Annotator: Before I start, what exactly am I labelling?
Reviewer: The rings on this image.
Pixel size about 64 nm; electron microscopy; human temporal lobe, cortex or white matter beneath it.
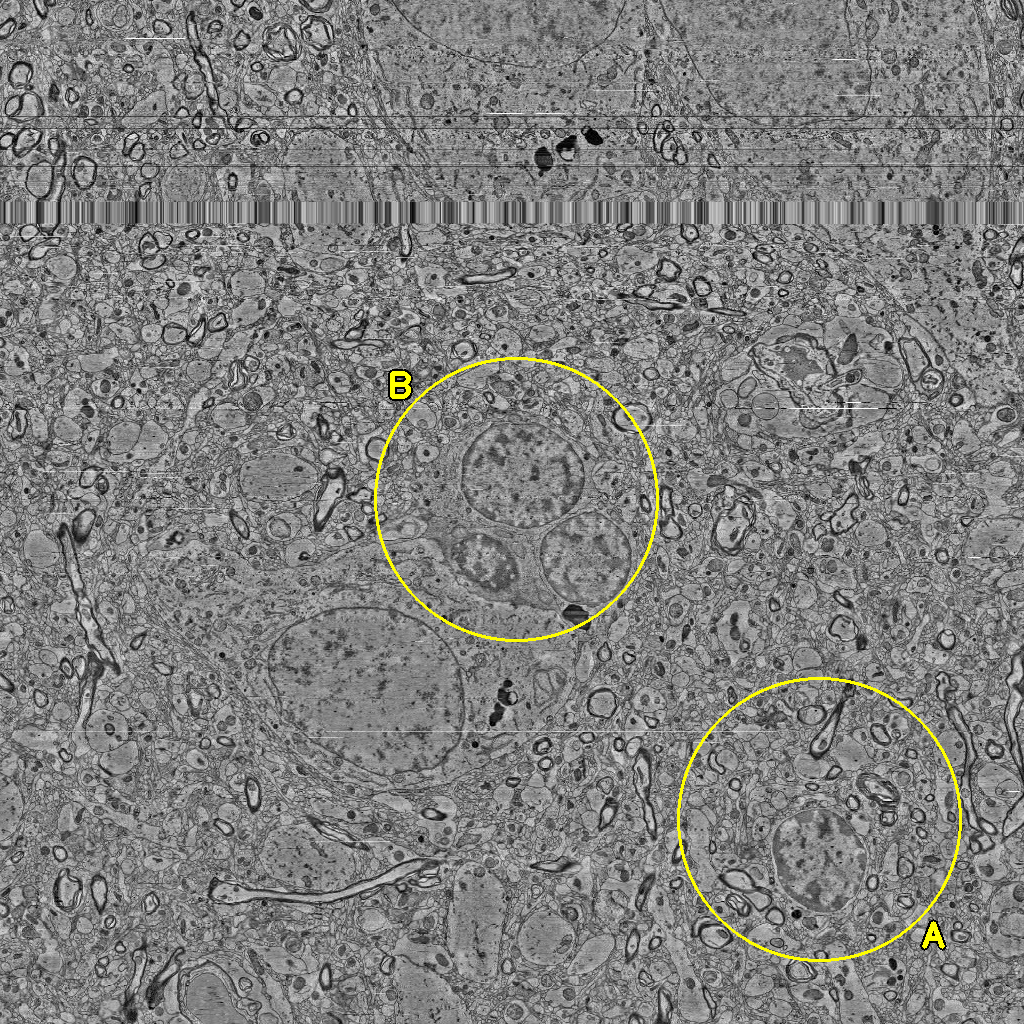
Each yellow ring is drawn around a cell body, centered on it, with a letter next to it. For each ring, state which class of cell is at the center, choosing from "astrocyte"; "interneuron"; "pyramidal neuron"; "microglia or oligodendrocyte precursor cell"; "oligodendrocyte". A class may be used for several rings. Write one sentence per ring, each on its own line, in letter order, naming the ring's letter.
At the center of ring A we have a microglial cell or oligodendrocyte precursor cell.
At the center of ring B we have an oligodendrocyte.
